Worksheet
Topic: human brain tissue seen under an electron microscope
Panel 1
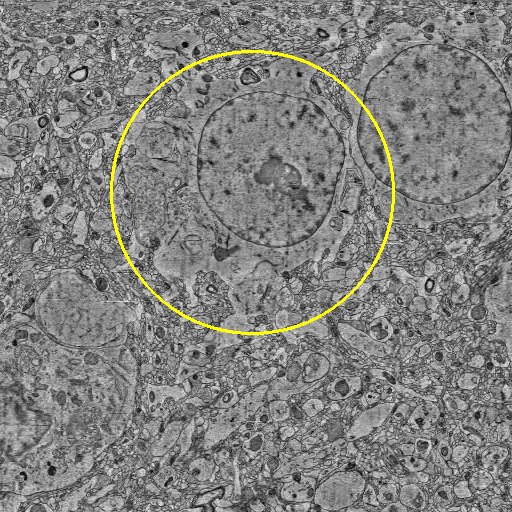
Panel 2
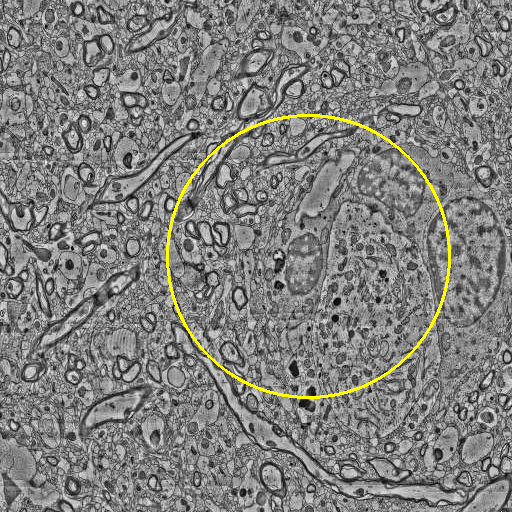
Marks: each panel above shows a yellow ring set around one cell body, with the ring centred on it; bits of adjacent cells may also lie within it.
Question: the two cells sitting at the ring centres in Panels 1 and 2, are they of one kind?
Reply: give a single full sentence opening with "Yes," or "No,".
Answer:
No, the two ring-centre cells in Panel 1 and Panel 2 are of two kinds.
